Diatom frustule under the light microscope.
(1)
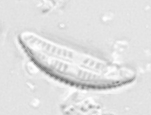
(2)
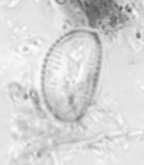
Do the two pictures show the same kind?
Yes, both are Amphora.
